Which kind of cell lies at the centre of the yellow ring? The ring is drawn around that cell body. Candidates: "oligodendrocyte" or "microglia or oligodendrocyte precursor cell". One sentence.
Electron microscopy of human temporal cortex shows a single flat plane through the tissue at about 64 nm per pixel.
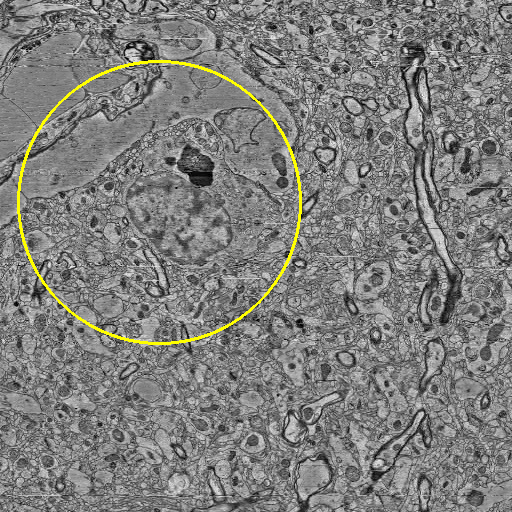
Lying at the centre of the ring is an oligodendrocyte.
